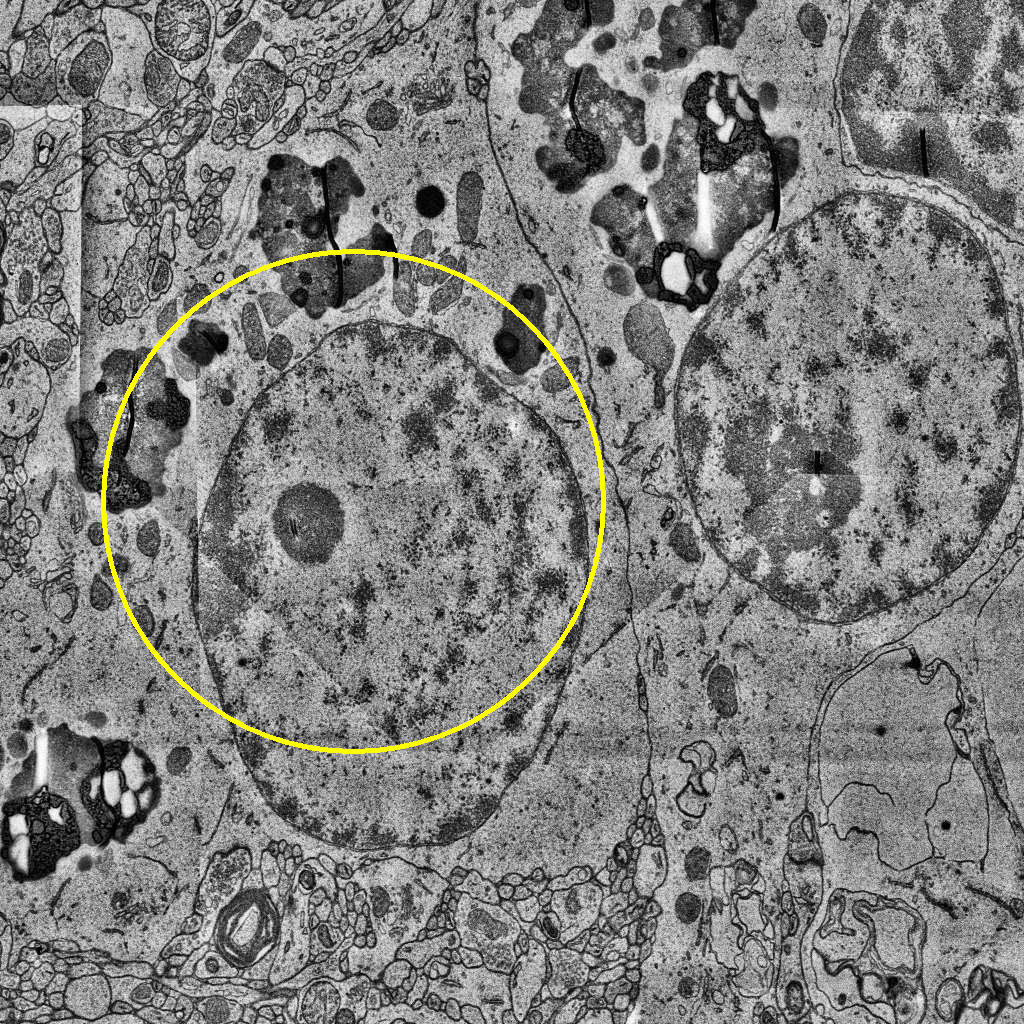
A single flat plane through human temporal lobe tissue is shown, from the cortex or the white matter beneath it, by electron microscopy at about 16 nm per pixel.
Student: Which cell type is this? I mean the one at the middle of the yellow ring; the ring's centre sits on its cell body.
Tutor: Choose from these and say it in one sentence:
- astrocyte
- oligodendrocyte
The cell at the ring's centre is an astrocyte.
